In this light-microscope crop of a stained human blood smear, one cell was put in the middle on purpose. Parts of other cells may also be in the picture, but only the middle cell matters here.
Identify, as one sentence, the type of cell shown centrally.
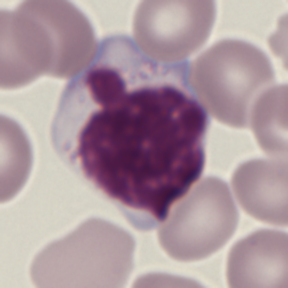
In the central position of this crop, the cell is a large granular lymphocyte.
